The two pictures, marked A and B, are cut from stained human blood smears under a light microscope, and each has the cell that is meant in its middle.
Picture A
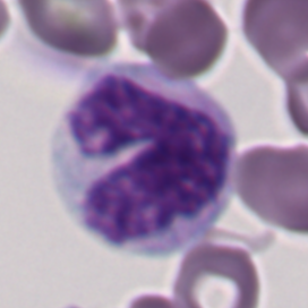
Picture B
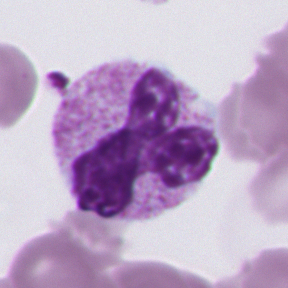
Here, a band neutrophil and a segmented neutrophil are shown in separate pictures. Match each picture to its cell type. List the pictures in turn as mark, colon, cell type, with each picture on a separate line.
A: band neutrophil
B: segmented neutrophil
